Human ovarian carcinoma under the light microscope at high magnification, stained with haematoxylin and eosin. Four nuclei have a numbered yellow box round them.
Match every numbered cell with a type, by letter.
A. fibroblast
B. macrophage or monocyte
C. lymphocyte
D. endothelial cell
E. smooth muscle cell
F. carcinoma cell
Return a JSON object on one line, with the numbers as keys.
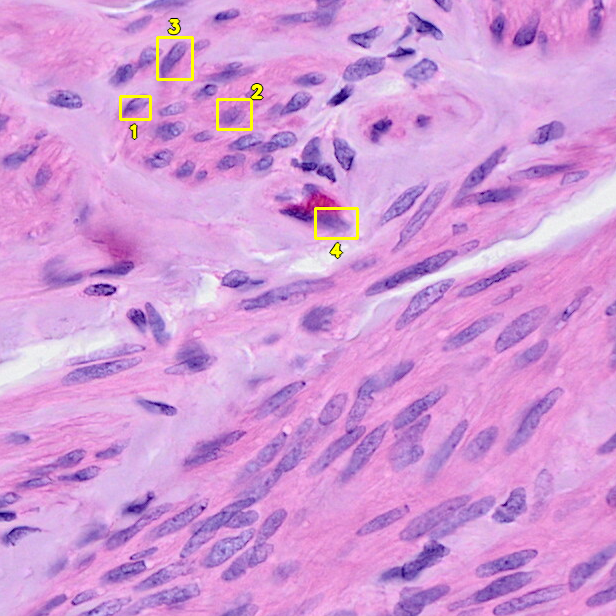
{"1": "E", "2": "E", "3": "E", "4": "D"}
